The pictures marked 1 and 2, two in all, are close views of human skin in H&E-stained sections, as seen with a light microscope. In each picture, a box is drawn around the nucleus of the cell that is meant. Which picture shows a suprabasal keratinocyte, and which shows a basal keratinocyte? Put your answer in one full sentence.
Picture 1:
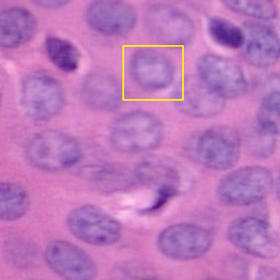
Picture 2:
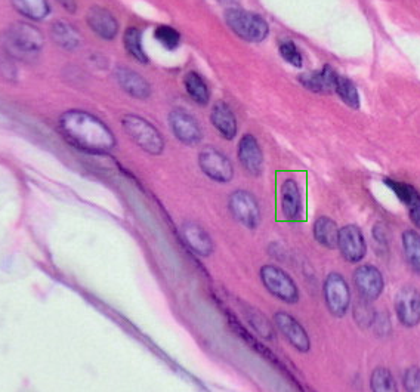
The cell in picture 1 is a suprabasal keratinocyte, and the one in picture 2 is a basal keratinocyte.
